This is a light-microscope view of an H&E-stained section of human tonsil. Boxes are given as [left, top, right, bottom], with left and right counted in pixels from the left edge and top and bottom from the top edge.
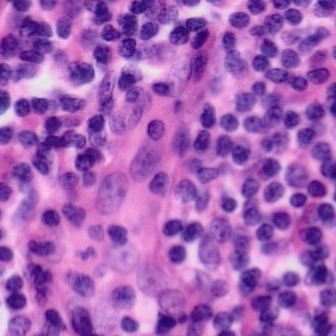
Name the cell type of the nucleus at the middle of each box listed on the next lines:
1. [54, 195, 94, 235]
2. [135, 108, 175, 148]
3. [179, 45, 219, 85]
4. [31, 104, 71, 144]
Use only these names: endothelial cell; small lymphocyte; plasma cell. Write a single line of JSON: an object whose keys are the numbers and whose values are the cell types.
{"1": "endothelial cell", "2": "endothelial cell", "3": "endothelial cell", "4": "small lymphocyte"}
